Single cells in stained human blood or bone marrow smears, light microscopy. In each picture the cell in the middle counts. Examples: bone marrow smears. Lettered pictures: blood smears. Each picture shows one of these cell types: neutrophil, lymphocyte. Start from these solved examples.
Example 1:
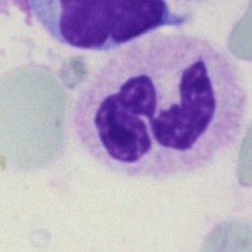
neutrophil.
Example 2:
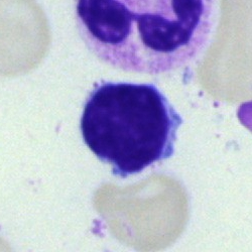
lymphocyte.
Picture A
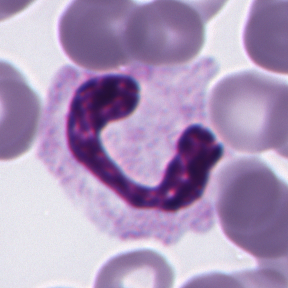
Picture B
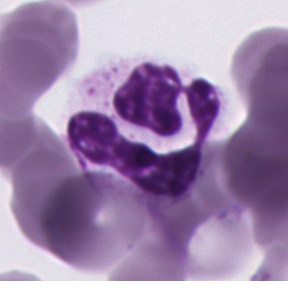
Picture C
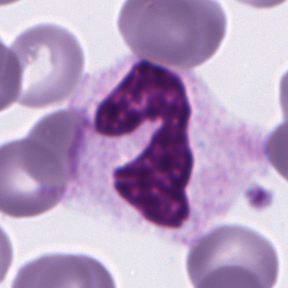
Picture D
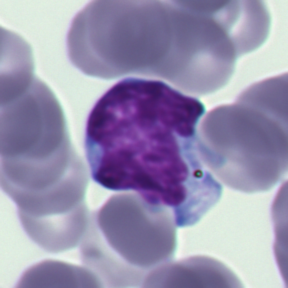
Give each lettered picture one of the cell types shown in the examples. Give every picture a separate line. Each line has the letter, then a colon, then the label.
A: neutrophil.
B: neutrophil.
C: neutrophil.
D: lymphocyte.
